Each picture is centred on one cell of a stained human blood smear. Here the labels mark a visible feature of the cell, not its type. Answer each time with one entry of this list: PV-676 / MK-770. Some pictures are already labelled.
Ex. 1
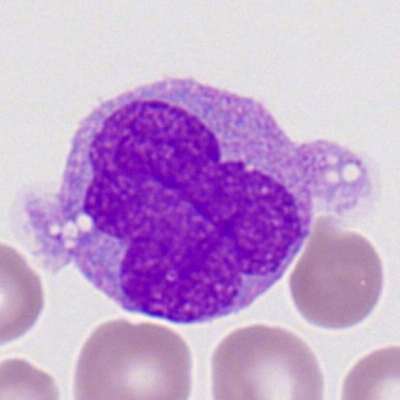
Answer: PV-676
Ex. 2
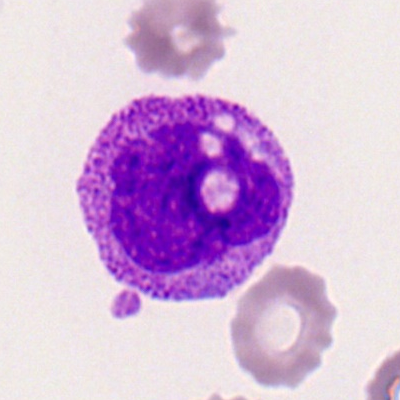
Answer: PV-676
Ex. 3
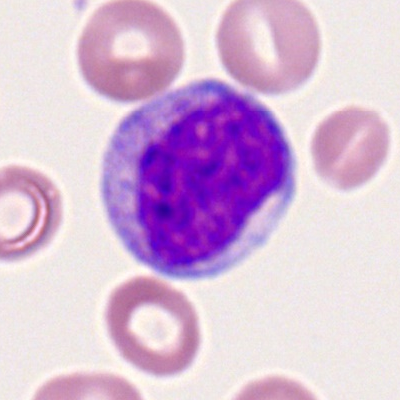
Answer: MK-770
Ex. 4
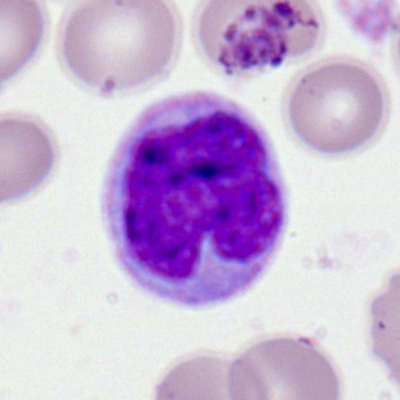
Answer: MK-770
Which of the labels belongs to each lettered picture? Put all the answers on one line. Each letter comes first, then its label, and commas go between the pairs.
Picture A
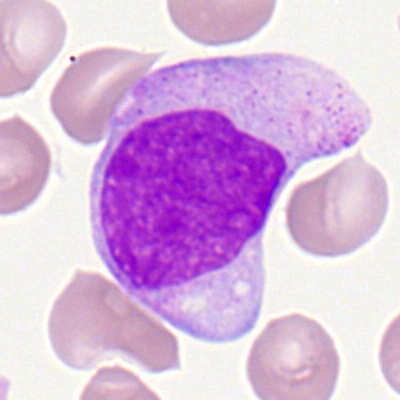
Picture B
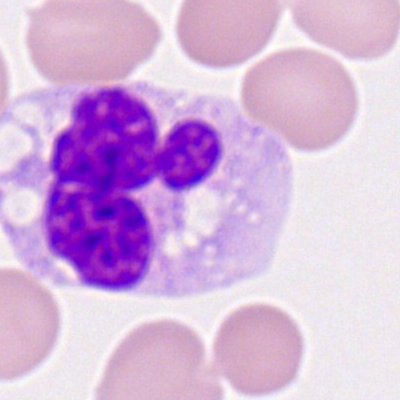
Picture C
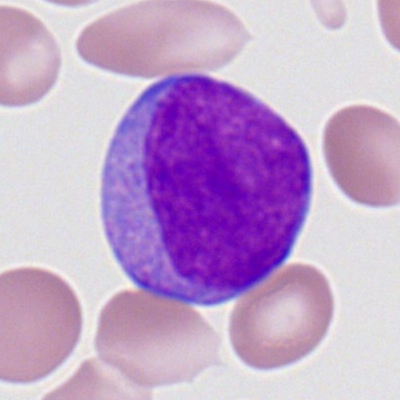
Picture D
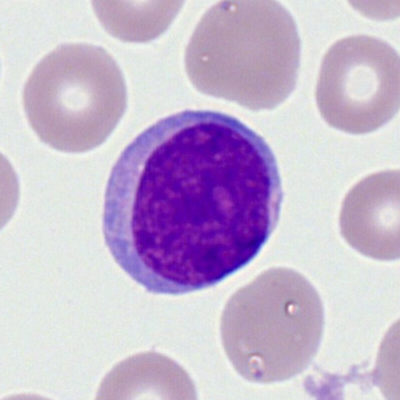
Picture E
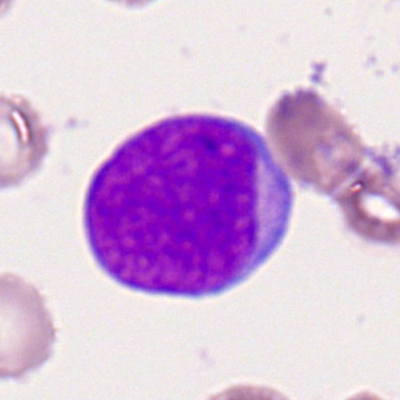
A PV-676, B PV-676, C MK-770, D MK-770, E MK-770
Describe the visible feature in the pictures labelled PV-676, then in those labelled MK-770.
PV-676: vacuoles present; MK-770: no vacuoles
